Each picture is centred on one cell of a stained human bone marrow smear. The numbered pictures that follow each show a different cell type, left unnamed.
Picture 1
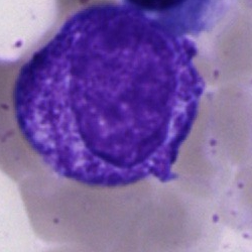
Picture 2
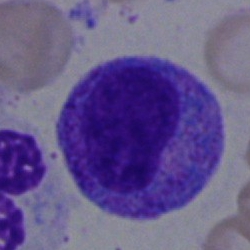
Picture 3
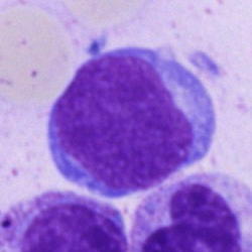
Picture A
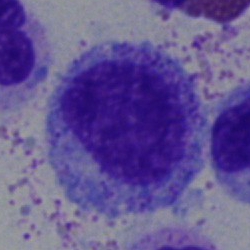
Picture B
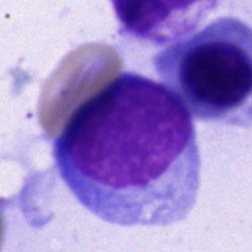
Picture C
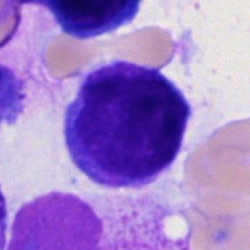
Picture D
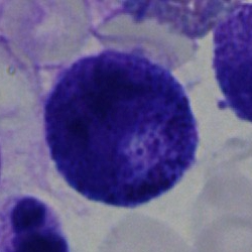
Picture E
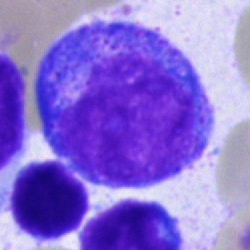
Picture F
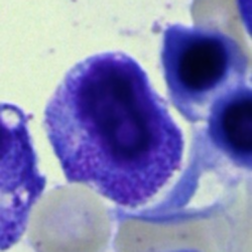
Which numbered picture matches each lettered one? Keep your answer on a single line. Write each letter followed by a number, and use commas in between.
A 1, B 3, C 3, D 1, E 1, F 2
